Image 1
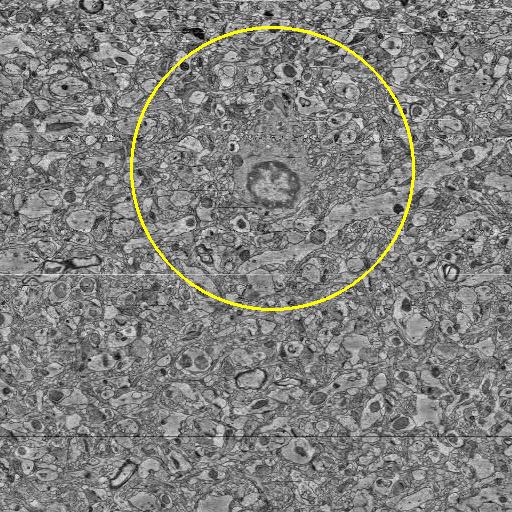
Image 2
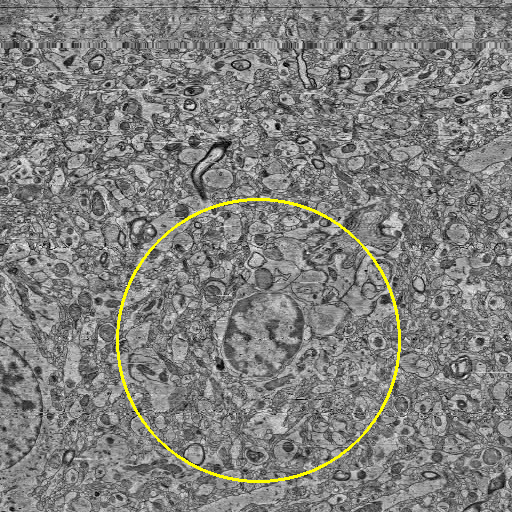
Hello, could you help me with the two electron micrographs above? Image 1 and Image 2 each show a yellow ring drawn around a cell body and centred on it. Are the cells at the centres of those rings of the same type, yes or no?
no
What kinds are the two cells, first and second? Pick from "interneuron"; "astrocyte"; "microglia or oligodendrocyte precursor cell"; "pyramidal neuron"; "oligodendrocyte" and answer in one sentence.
The second picture holds a microglial cell or oligodendrocyte precursor cell in its ring, and the first holds an oligodendrocyte.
